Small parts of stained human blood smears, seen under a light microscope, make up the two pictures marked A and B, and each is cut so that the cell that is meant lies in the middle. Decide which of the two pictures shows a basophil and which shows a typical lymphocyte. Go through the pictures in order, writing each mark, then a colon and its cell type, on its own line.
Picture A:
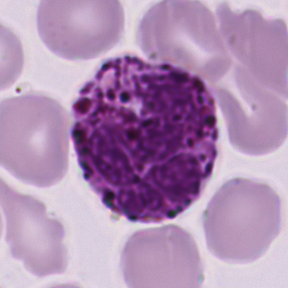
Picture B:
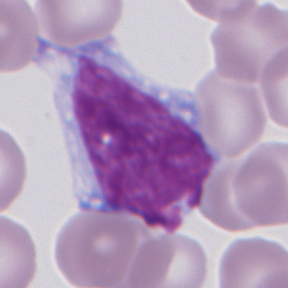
A: basophil
B: typical lymphocyte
